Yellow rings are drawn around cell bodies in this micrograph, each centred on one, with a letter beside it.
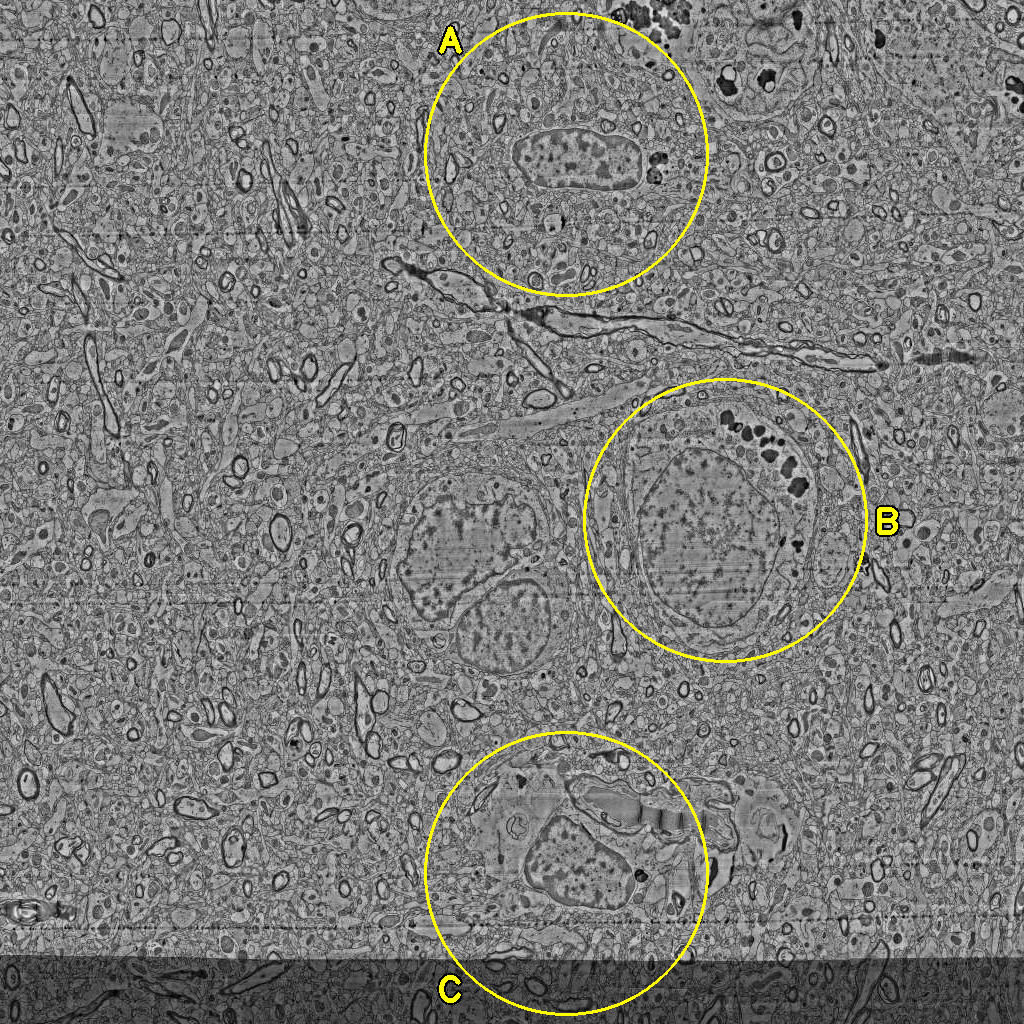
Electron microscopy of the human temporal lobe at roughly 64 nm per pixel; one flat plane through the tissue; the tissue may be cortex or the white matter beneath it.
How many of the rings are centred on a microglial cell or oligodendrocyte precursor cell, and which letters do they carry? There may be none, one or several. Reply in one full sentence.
As for the rings with the letters A and C, there are two, each centred on a microglial cell or oligodendrocyte precursor cell.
